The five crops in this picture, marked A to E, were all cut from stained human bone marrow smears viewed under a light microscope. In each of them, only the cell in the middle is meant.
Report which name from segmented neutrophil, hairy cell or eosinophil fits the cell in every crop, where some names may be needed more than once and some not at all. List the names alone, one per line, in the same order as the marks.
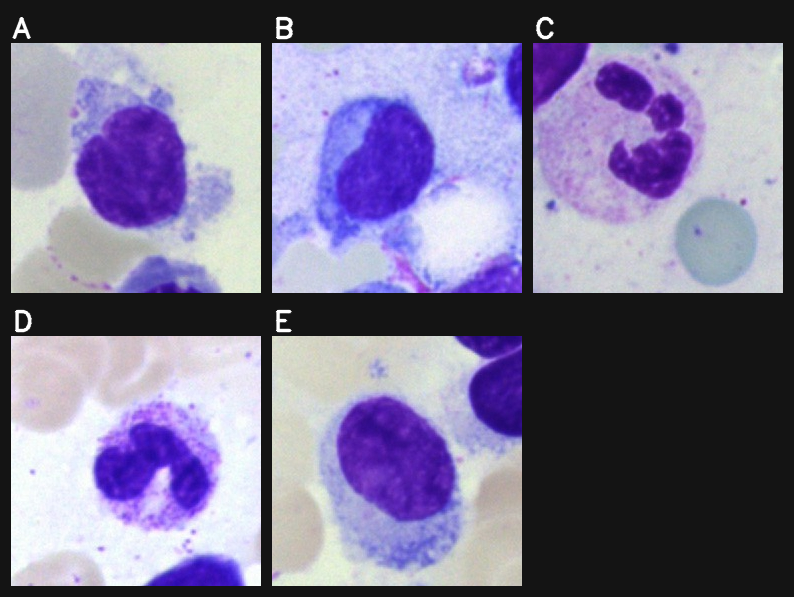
hairy cell
hairy cell
segmented neutrophil
segmented neutrophil
hairy cell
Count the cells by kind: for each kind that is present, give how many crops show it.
hairy cell: 3
segmented neutrophil: 2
